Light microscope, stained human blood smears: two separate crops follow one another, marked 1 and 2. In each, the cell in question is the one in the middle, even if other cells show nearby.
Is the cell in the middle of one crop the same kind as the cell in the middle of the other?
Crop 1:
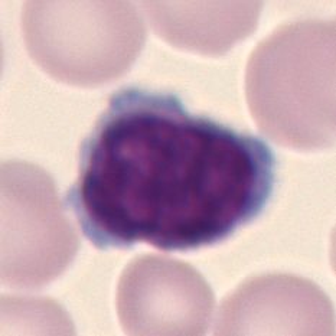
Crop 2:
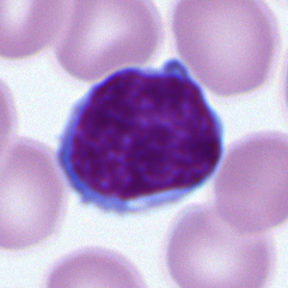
yes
